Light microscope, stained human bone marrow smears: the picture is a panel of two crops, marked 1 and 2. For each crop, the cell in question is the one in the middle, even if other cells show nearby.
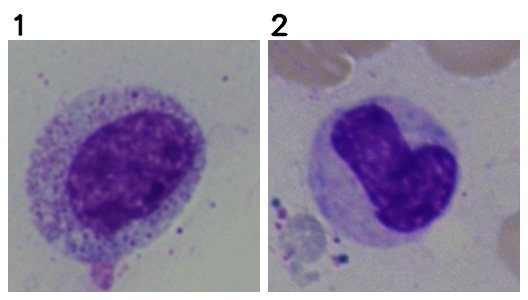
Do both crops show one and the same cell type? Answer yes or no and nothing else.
yes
